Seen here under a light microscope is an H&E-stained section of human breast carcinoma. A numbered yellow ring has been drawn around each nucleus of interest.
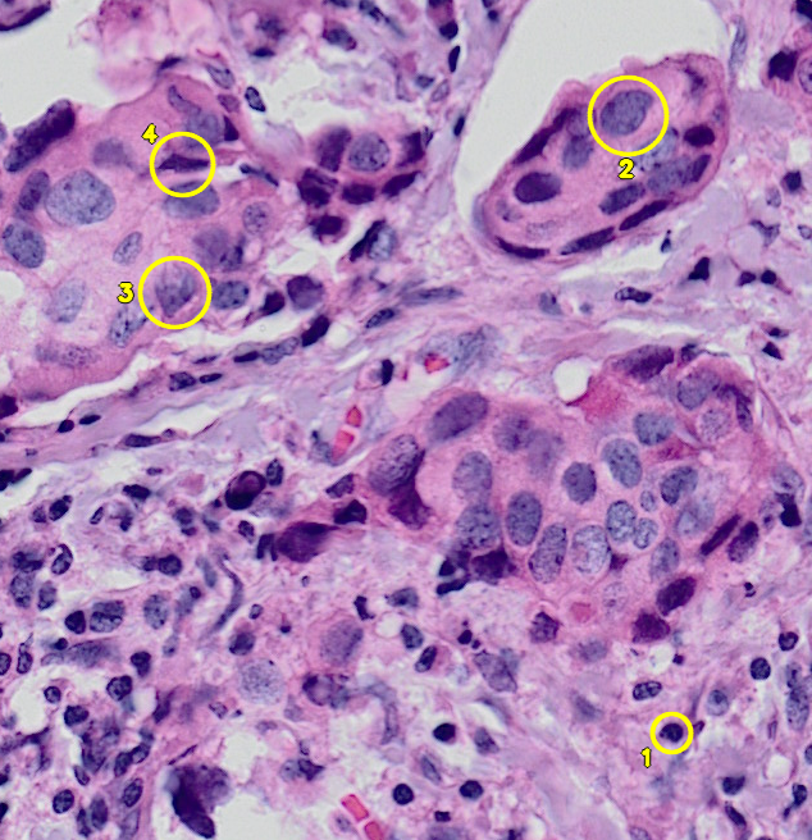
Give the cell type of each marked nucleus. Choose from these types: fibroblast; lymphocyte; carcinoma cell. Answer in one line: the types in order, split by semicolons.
lymphocyte; carcinoma cell; carcinoma cell; carcinoma cell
